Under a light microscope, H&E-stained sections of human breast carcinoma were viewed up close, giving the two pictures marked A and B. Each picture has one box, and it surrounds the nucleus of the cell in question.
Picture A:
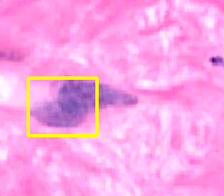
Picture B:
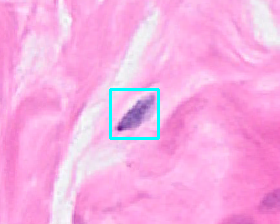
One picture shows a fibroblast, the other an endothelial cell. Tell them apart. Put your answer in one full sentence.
In picture A the cell is an endothelial cell; in picture B, a fibroblast.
